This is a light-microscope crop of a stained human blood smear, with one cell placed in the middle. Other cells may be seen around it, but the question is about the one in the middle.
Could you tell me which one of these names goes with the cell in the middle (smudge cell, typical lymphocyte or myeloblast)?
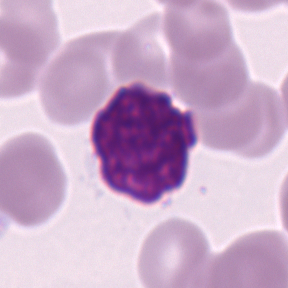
smudge cell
